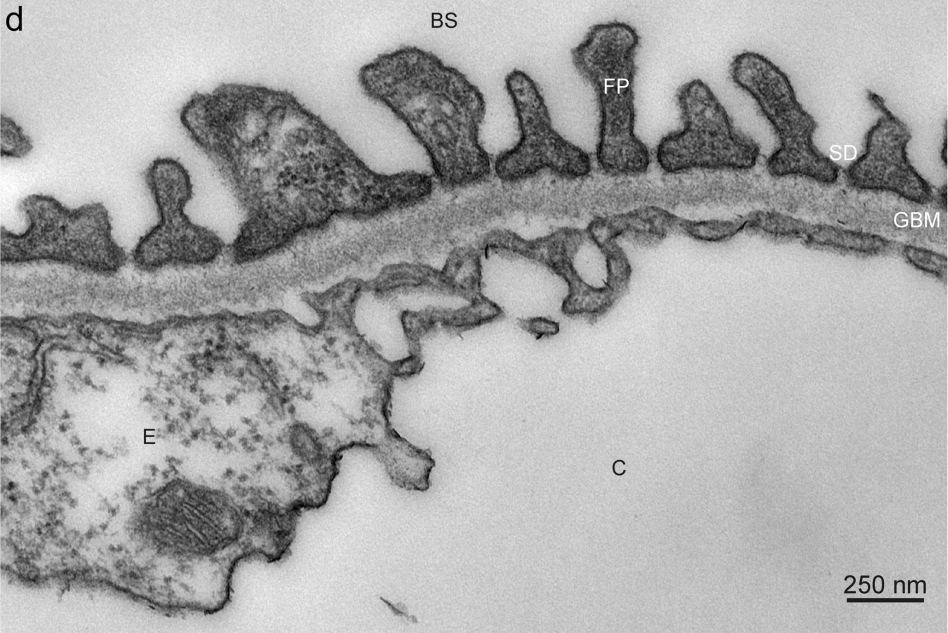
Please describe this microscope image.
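This thin section cuts across the filtration barrier of a glomerular capillary. Below lies the capillary lumen, pale and empty, lined by an endothelial cell whose cytoplasm holds a mitochondrion and thins out into a delicate layer with small openings along the wall. Above it runs a continuous grey band, the glomerular basement membrane, denser in its middle. On its outer face stand many dark, mushroom- or club-shaped foot processes in a regular row, separated by narrow gaps bridged by thin slit diaphragms. Above them is the clear space of Bowman's space.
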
